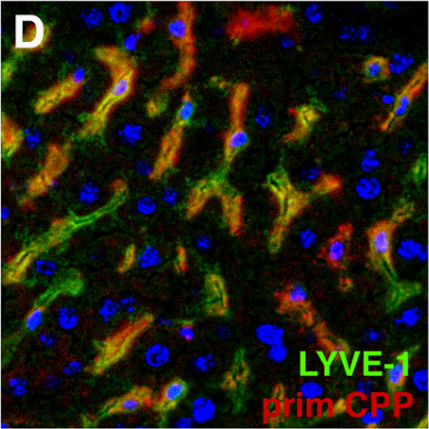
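Liver tissue crossed by many elongated, branching channels lined in green, with red filling or hugging most of them so that they appear orange-yellow where the colours overlap. Between these channels lie large round blue nuclei of the main cells of the tissue, surrounded by dark, unlabelled cytoplasm. Smaller, flatter or oval nuclei sit along the walls of the channels.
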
